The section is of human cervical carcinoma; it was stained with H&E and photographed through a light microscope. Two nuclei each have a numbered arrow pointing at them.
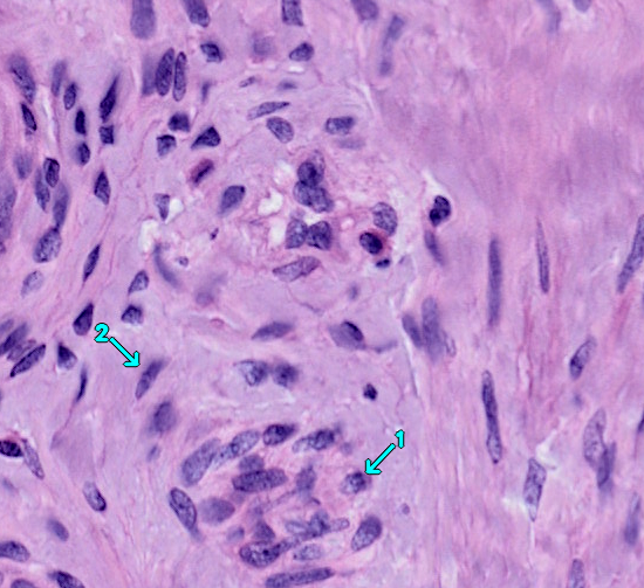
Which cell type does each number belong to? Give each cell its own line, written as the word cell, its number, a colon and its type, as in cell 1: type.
cell 1: smooth muscle cell
cell 2: fibroblast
